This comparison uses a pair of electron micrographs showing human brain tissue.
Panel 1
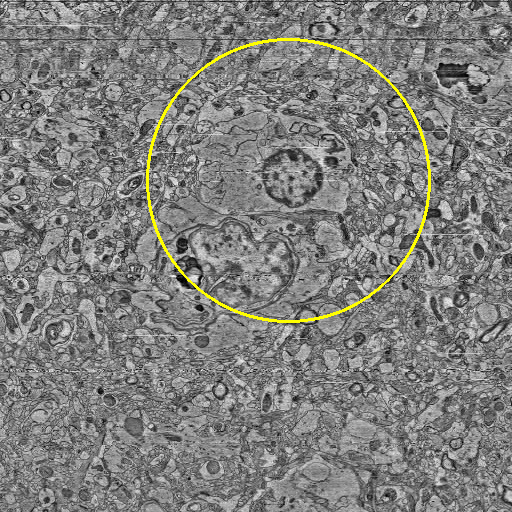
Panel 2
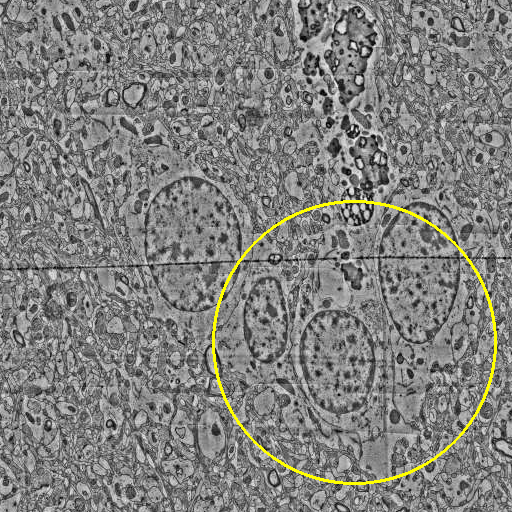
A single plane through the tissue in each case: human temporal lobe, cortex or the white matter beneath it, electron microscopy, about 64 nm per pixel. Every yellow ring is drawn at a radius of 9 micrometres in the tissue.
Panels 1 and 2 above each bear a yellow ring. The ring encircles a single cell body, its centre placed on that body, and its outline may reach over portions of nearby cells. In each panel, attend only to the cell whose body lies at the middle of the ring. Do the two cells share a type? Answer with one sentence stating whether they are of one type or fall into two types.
In Panel 1 and Panel 2, the cells at the centres of the rings are of one type.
